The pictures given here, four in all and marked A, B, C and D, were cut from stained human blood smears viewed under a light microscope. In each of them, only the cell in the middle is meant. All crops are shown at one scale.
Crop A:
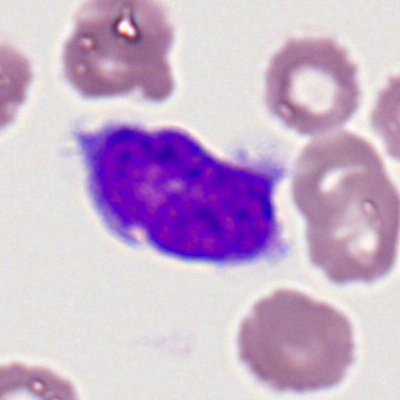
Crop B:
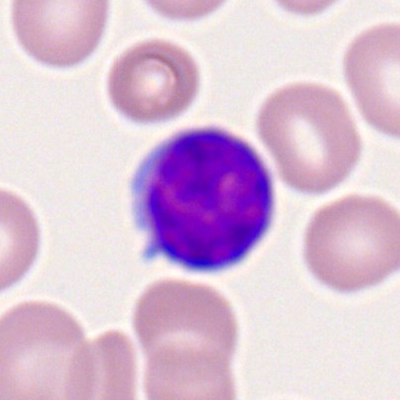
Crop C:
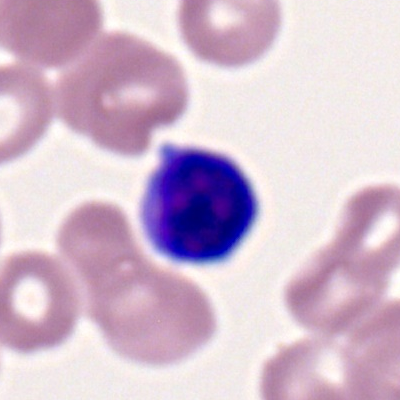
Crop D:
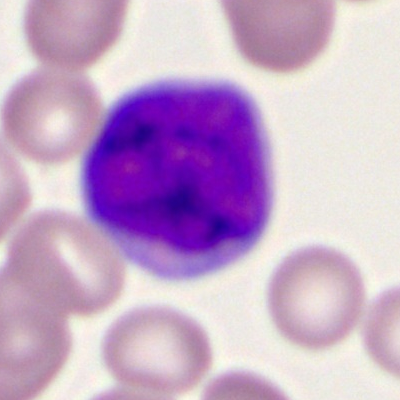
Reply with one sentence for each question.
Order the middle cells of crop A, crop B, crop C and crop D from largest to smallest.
Largest first: D, A, B, C.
